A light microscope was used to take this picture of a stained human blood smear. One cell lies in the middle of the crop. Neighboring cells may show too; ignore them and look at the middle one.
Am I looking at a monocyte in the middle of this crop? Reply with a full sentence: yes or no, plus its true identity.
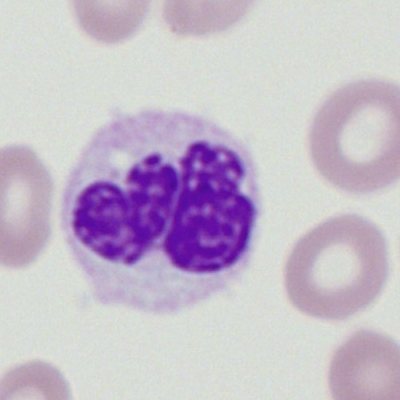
Yes, this central cell is a monocyte.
